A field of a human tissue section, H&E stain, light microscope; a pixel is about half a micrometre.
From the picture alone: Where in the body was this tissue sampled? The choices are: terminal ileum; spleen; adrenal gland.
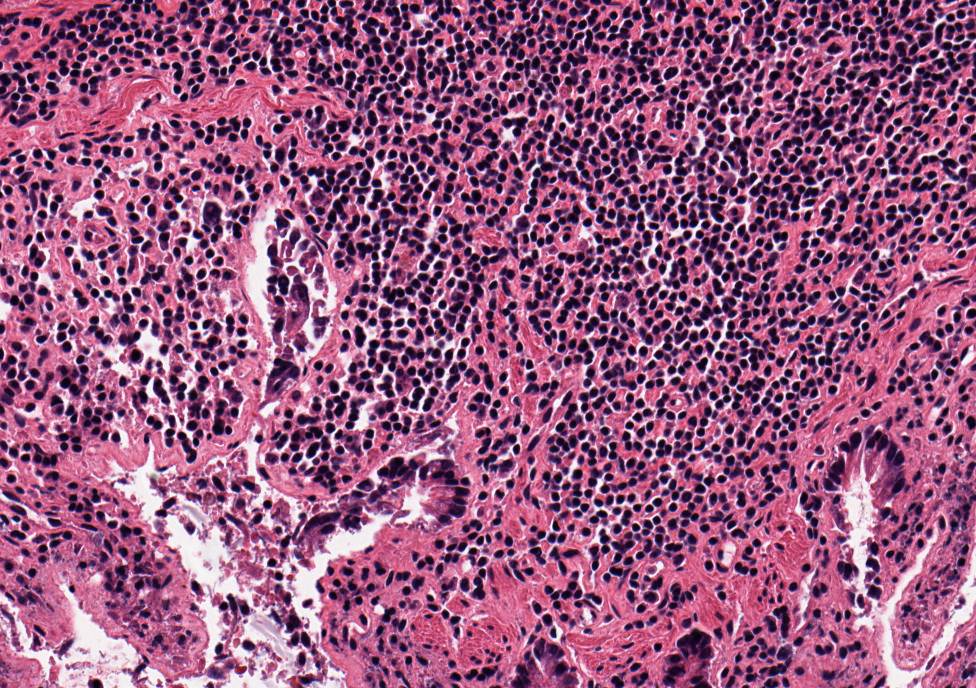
terminal ileum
